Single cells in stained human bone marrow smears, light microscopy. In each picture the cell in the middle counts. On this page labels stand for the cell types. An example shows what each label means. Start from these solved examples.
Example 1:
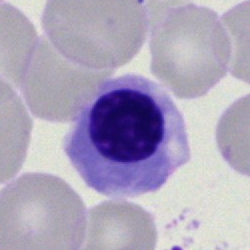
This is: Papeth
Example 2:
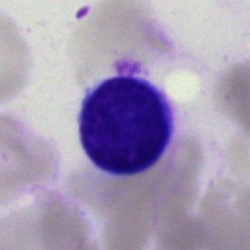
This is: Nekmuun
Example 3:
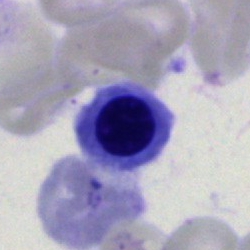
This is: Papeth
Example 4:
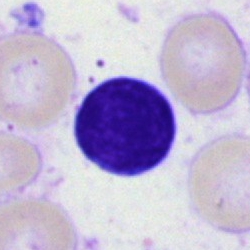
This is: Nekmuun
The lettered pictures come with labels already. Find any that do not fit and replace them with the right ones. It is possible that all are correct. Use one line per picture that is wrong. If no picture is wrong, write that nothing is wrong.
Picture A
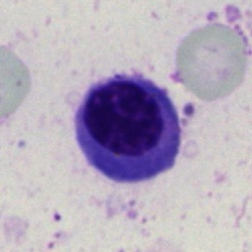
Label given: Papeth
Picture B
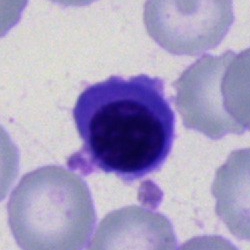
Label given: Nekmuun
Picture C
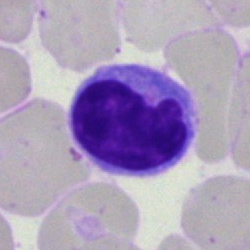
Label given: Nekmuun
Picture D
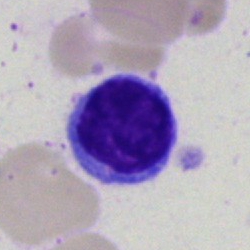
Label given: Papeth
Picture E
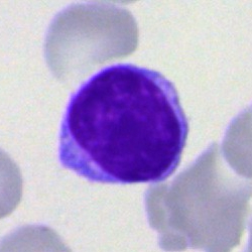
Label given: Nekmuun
B is labelled Nekmuun; correct label: Papeth
D is labelled Papeth; correct label: Nekmuun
